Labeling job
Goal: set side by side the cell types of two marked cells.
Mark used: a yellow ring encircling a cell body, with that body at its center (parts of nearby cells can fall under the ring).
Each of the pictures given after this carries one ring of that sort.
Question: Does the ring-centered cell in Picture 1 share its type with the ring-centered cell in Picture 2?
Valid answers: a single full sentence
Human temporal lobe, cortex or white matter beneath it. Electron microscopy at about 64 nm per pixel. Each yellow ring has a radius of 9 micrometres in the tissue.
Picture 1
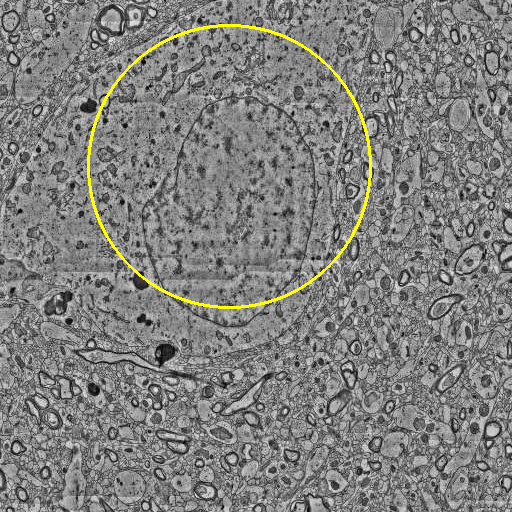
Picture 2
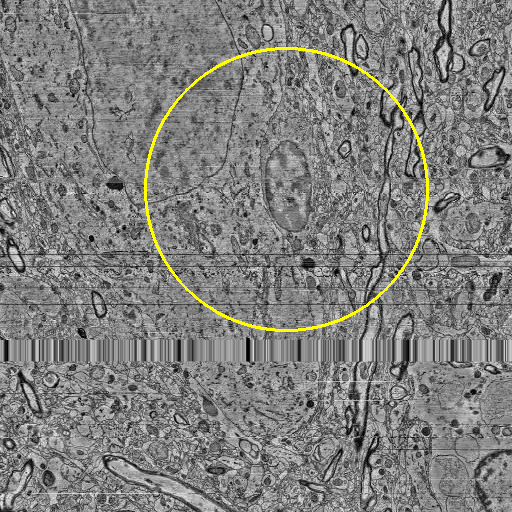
No, in Pictures 1 and 2 the cells at the ring centers have separate types.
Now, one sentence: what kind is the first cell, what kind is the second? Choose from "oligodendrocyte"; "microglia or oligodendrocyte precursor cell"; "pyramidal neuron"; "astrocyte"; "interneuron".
The first picture has a pyramidal neuron at its ring centre, and the second has an oligodendrocyte.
